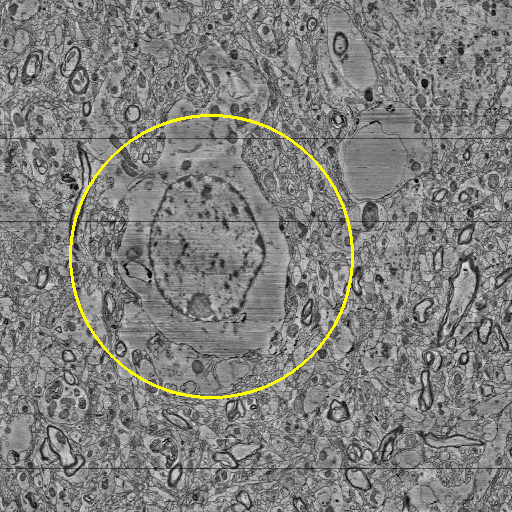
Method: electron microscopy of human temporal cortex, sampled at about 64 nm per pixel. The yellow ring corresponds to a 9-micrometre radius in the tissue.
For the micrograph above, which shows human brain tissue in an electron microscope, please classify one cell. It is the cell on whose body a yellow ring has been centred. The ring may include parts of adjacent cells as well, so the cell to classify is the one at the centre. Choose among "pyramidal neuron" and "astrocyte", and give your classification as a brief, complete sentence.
I classify this cell as an astrocyte.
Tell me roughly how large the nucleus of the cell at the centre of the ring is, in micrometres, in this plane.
About 10 by 8 micrometers for the nucleus, in this plane.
